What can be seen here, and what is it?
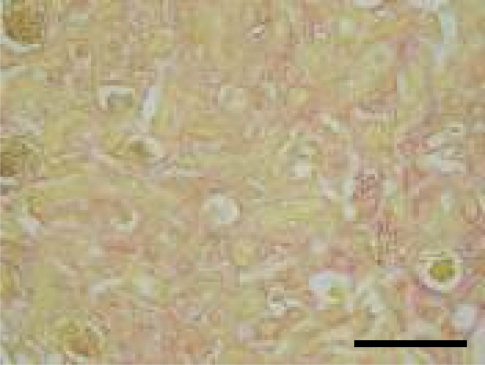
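The strands run between the tubules in the interstitium, spread widely through the field. The tubules are irregular in outline, some small and round, and the normal closely packed tubular pattern is disturbed, as in fibrosis.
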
